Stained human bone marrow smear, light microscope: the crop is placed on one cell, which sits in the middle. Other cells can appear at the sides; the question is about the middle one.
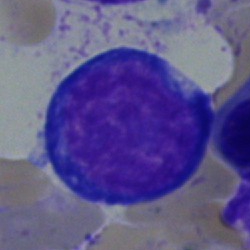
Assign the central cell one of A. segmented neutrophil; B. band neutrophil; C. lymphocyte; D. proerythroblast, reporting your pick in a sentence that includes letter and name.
The central cell in this crop is a proerythroblast, so the correct choice is option D.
